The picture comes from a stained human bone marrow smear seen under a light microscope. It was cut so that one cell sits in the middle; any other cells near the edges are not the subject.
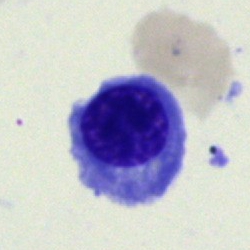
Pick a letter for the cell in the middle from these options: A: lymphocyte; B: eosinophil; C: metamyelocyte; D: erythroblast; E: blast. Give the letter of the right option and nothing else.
D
